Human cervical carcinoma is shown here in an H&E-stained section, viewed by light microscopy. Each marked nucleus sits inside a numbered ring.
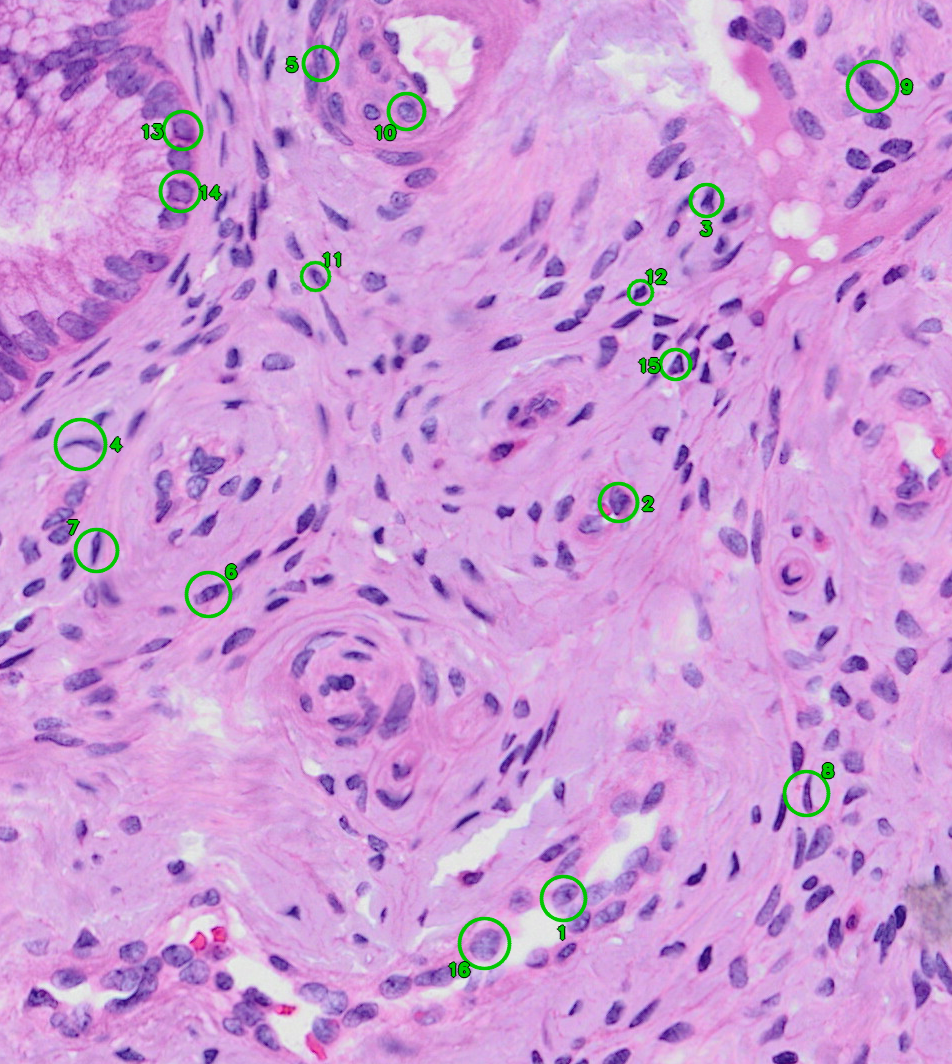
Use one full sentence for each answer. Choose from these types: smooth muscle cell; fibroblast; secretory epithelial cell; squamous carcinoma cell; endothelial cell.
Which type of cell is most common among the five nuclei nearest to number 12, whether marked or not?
Most of the five nuclei nearest to number 12 are those of fibroblasts.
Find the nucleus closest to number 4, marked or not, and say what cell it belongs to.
The nearest nucleus to number 4 belongs to a fibroblast.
